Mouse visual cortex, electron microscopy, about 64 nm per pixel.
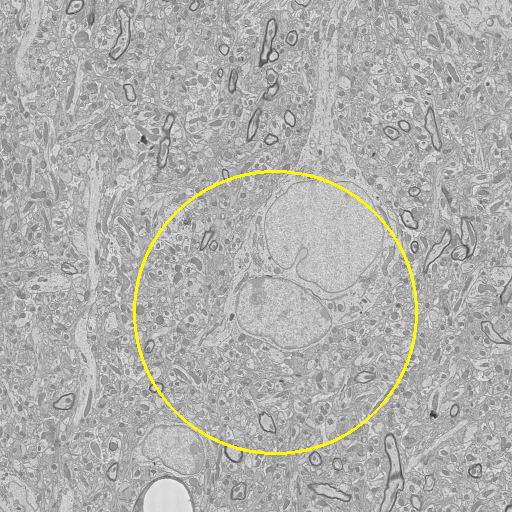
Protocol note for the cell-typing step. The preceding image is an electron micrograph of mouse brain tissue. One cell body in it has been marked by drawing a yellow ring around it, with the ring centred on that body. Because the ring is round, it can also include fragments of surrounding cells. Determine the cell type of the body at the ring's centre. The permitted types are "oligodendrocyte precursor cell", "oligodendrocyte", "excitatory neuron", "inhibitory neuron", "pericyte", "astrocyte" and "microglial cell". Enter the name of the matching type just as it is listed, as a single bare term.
oligodendrocyte precursor cell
